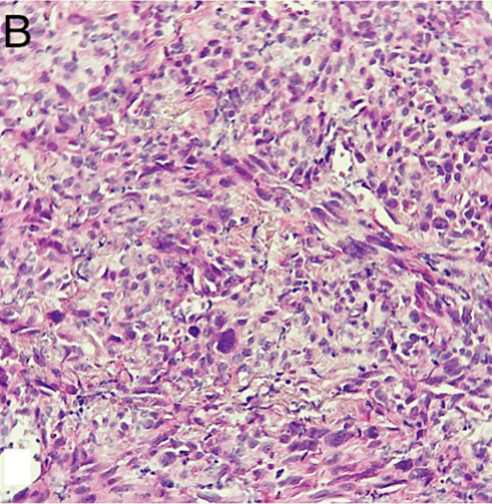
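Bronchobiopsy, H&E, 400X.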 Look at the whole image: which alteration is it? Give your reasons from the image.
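Anisokaryosis. Nuclei vary markedly in size from cell to cell. A few nuclei are much larger than their neighbours.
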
